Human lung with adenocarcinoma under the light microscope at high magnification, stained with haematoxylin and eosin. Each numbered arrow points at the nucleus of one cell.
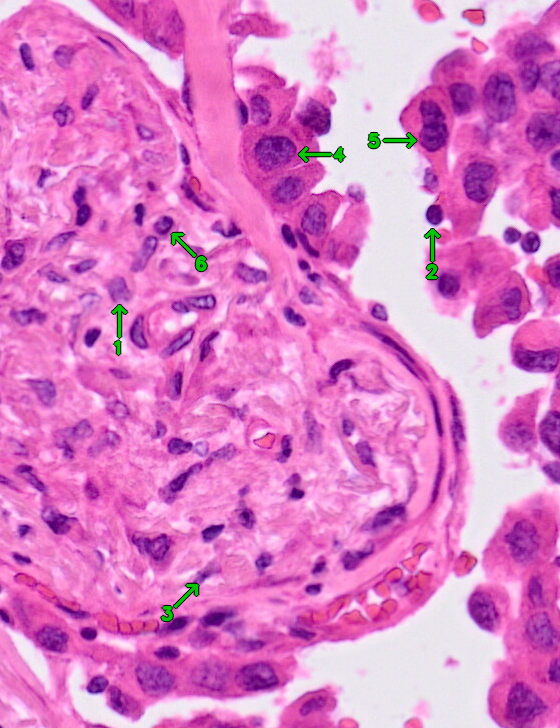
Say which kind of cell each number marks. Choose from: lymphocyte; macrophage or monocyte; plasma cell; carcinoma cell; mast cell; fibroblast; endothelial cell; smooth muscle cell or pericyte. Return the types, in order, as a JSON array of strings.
["mast cell", "lymphocyte", "fibroblast", "carcinoma cell", "carcinoma cell", "plasma cell"]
